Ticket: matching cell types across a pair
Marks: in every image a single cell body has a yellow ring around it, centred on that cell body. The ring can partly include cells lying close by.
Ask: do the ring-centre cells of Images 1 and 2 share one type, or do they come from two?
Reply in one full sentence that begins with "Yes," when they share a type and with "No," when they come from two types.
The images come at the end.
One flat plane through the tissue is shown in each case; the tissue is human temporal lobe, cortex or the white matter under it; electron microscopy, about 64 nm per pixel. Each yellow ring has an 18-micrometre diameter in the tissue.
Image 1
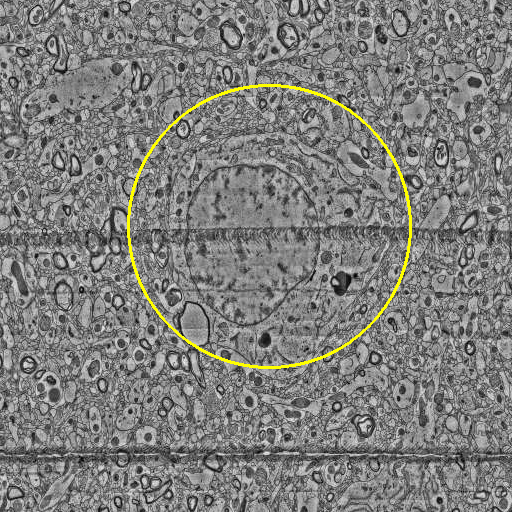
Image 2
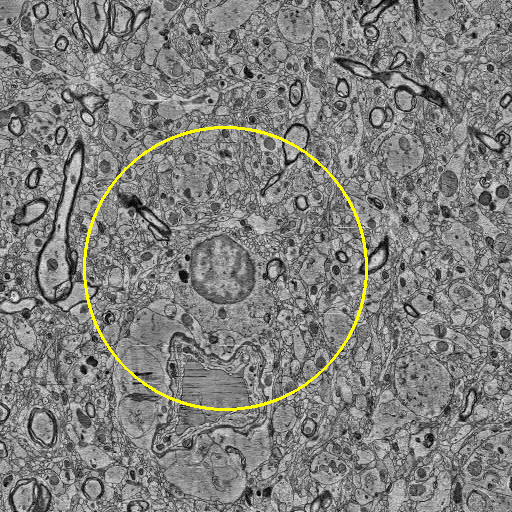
No, the cells in the centres of the rings in Image 1 and Image 2 come from two types.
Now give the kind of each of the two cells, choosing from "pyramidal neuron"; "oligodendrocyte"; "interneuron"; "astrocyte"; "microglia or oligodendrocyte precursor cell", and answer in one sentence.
The cell in the first picture is a pyramidal neuron, and the cell in the second is an oligodendrocyte.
